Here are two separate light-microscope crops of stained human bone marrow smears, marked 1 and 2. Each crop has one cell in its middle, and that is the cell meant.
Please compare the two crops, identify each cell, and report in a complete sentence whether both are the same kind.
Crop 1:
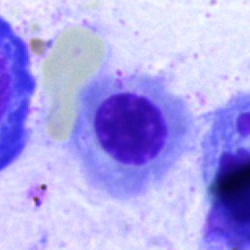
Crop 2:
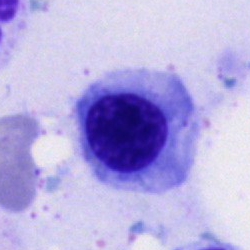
Yes, the cells that the two crops centre on are normoblasts.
